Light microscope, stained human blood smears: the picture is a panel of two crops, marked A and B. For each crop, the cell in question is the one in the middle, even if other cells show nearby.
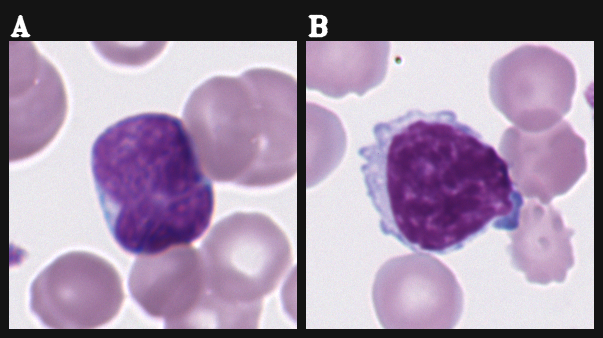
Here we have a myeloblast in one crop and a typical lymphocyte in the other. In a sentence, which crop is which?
Crop A is to be read as a myeloblast and crop B as a typical lymphocyte.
